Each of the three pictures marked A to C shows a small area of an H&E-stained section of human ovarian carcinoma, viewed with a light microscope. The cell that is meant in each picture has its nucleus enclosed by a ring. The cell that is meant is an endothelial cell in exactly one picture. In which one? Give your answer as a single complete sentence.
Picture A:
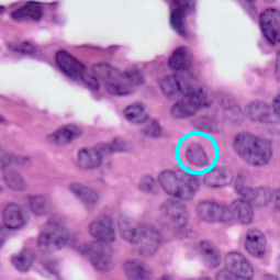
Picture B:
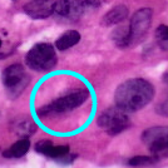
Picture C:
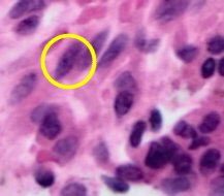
Picture B shows the endothelial cell.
